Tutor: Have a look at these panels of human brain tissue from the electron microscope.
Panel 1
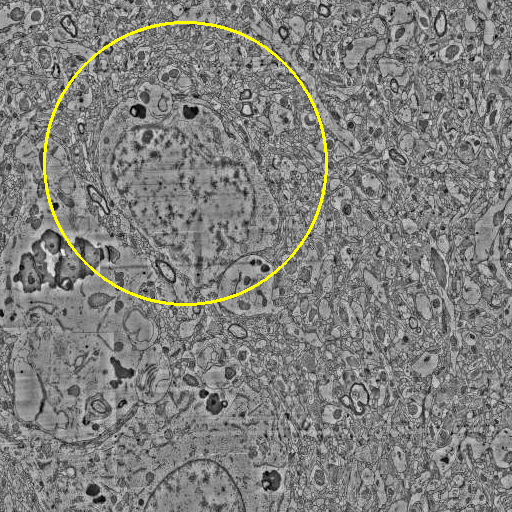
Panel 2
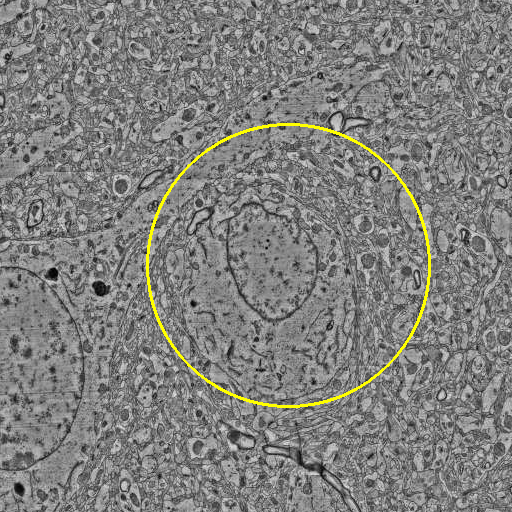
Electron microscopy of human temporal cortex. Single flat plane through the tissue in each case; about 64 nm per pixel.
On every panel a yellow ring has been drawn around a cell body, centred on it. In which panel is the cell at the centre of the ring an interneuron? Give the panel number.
1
